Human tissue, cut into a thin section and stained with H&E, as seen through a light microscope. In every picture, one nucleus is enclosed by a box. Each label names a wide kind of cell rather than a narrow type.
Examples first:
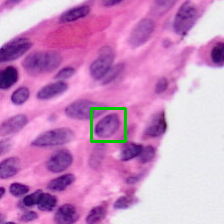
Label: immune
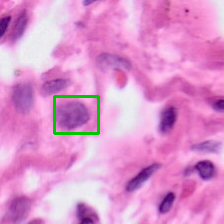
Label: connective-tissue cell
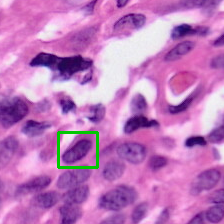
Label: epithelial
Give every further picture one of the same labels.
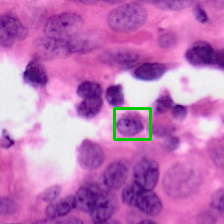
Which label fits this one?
immune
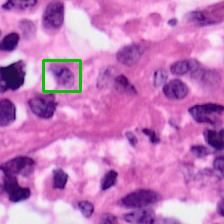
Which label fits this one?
immune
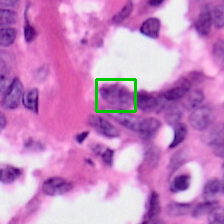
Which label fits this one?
epithelial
